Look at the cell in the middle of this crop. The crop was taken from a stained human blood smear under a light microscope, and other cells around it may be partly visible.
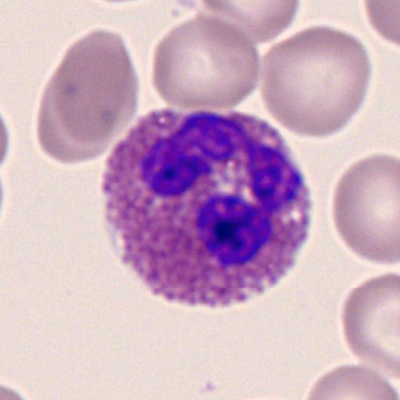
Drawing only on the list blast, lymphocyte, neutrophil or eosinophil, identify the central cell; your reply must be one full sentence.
Present in the middle of the crop is an eosinophil.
